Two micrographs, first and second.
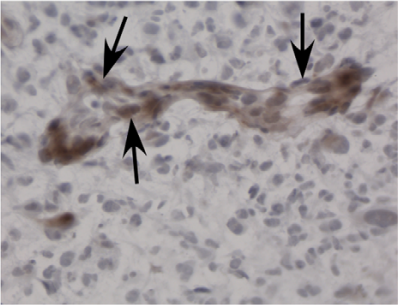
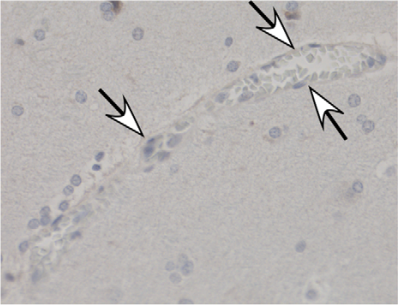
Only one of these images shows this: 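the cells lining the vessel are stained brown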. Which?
The first image.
